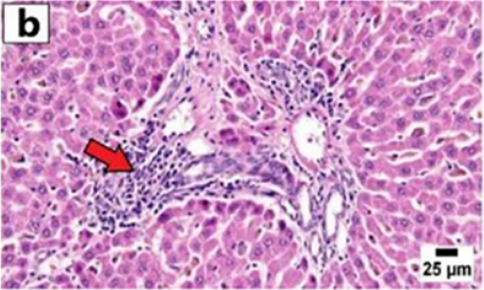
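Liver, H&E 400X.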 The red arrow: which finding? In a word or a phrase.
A: Portal inflammatory cell infiltration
